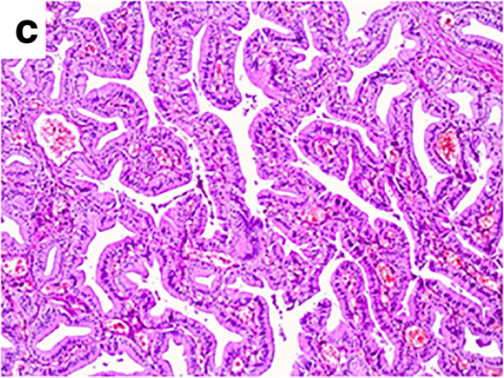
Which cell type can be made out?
Pancreatobiliary-type epithelium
